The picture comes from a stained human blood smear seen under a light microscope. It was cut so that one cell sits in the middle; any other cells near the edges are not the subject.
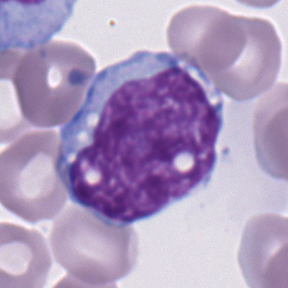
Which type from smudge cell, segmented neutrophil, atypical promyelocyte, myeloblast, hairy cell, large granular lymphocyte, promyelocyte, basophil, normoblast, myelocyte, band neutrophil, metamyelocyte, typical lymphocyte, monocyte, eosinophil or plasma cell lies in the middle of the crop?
myeloblast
